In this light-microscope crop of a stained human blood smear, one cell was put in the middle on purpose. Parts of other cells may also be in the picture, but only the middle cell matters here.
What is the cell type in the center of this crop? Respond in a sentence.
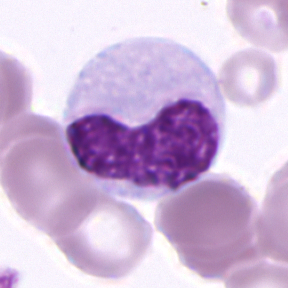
In the center of this field lies a metamyelocyte.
